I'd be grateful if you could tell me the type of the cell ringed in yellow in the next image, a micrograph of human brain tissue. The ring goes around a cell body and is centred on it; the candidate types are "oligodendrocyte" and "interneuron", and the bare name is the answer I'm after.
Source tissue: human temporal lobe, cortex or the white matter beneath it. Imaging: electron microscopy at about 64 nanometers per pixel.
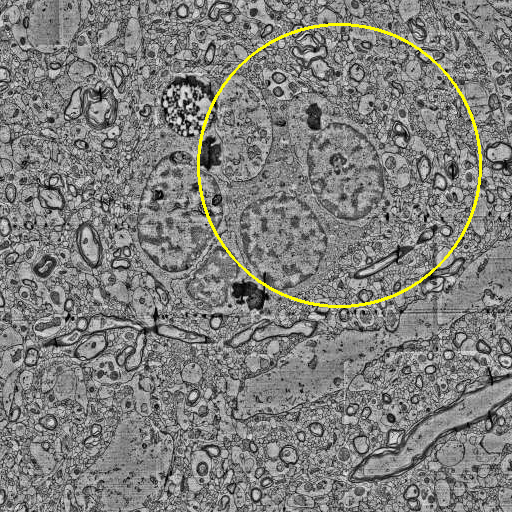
oligodendrocyte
